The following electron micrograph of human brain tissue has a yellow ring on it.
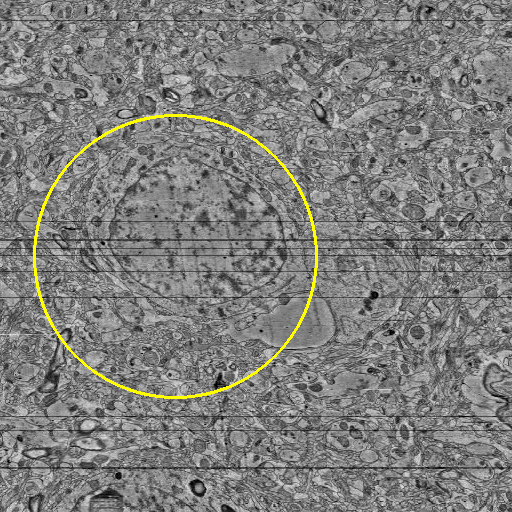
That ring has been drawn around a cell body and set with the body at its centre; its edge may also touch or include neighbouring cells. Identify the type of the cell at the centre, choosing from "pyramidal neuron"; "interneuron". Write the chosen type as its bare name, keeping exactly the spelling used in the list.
pyramidal neuron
